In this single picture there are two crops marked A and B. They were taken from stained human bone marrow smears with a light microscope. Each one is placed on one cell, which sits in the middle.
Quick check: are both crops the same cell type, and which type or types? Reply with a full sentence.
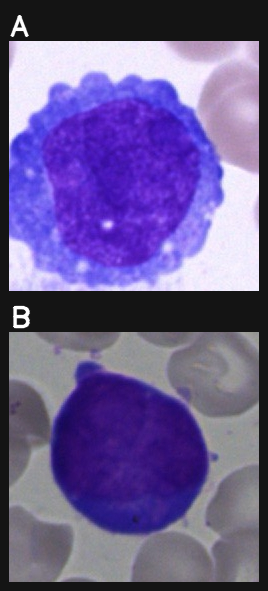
Yes, both crops show blasts, and the two match.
